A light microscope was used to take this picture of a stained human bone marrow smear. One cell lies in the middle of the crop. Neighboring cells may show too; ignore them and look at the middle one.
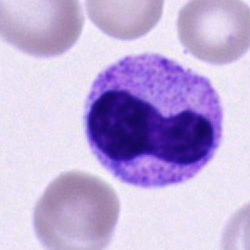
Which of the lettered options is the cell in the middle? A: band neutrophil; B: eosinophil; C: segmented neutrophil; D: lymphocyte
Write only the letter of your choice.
A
